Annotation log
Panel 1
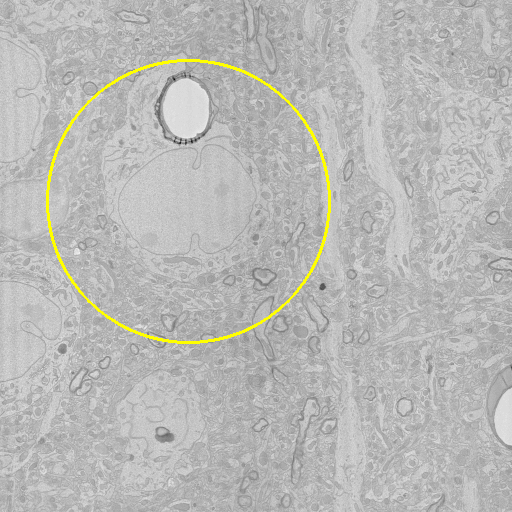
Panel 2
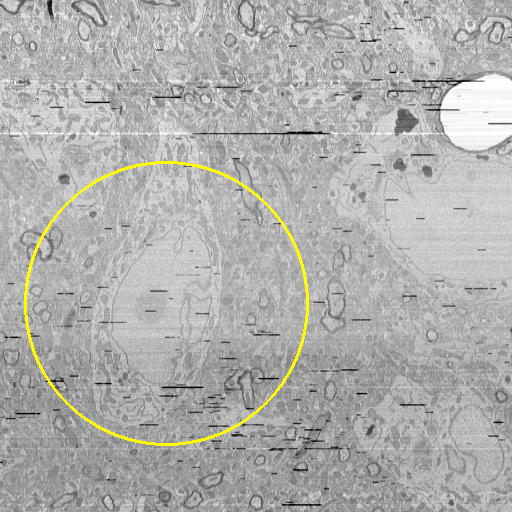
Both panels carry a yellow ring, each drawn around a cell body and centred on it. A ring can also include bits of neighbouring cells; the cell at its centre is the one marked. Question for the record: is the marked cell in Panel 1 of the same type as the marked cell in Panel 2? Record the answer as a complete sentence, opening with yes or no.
No, the marked cells in Panel 1 and Panel 2 are of two types.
